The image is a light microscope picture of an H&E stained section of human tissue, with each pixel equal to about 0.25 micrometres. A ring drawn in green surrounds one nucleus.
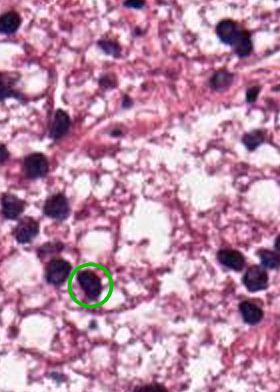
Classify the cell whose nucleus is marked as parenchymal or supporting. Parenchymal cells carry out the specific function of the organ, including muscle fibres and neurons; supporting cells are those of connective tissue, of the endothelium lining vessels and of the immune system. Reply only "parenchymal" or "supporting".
parenchymal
